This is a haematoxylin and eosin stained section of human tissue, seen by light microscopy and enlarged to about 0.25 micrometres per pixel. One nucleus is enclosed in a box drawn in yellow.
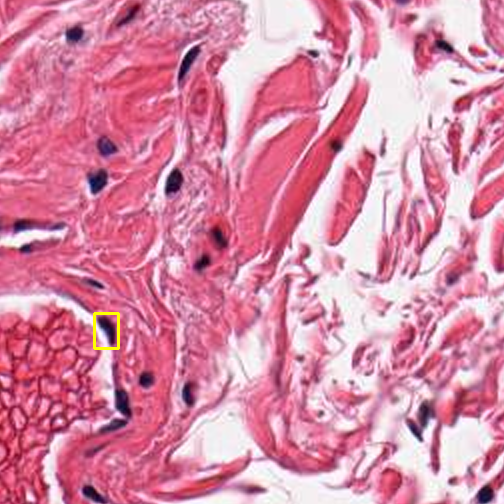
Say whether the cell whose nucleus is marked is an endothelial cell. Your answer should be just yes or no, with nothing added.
yes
